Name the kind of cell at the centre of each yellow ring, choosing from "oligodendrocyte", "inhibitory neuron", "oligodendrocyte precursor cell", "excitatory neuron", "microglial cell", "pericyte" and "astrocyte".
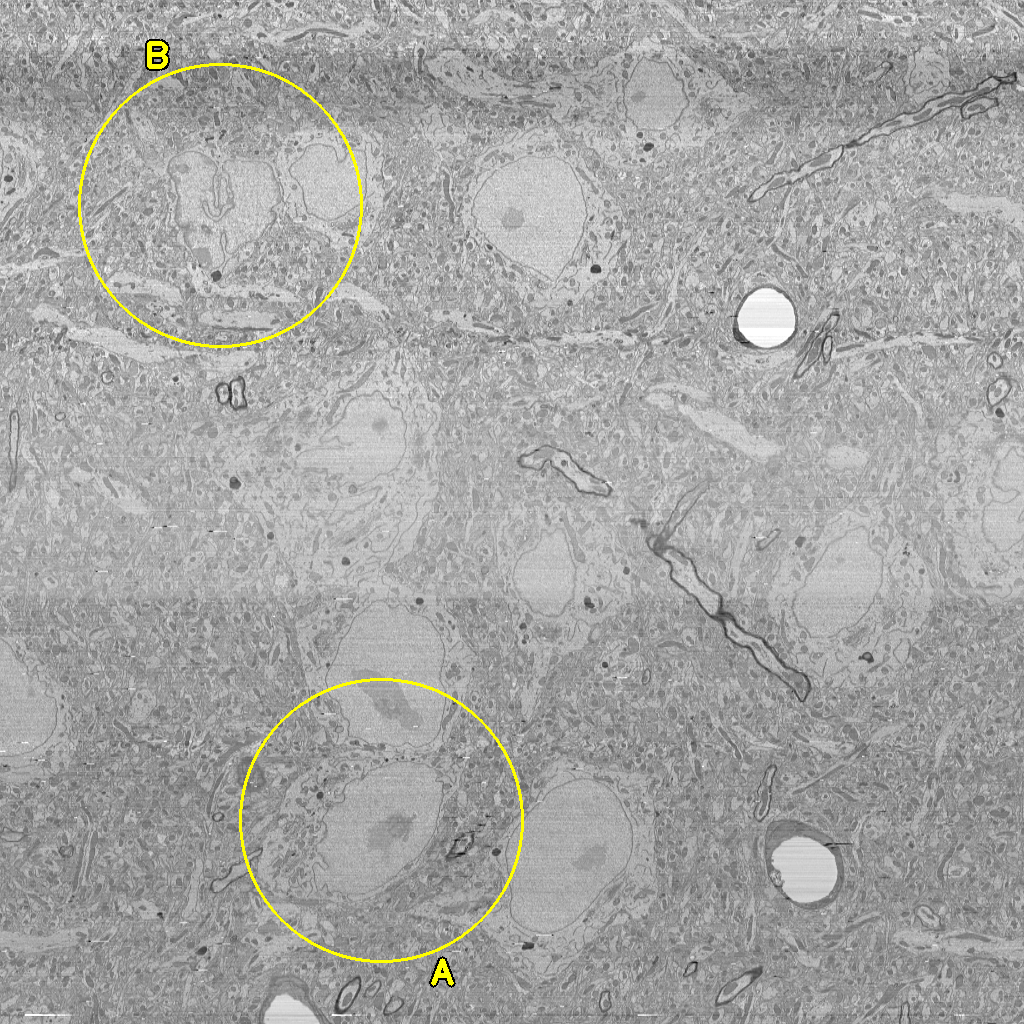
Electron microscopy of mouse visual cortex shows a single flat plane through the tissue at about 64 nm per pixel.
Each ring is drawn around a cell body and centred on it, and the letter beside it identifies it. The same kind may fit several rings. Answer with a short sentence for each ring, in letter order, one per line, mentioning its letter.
Ring A is drawn around an inhibitory neuron.
Ring B is drawn around an oligodendrocyte precursor cell.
